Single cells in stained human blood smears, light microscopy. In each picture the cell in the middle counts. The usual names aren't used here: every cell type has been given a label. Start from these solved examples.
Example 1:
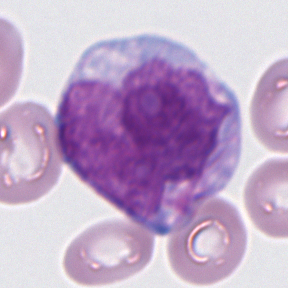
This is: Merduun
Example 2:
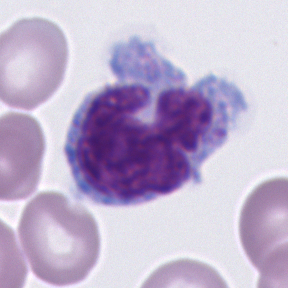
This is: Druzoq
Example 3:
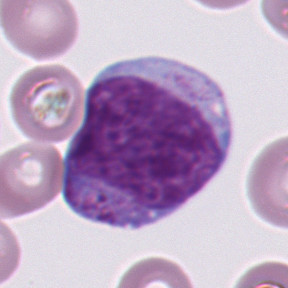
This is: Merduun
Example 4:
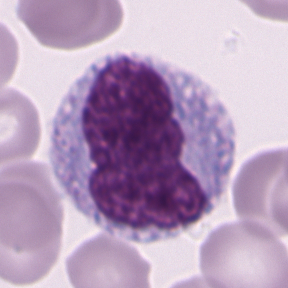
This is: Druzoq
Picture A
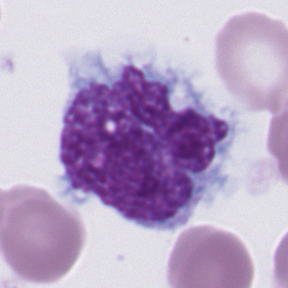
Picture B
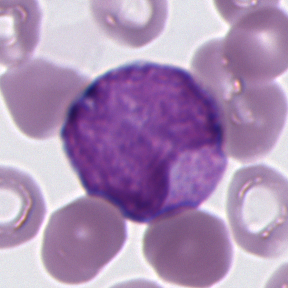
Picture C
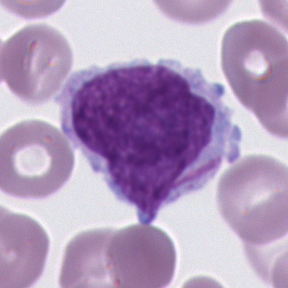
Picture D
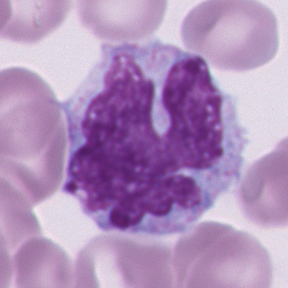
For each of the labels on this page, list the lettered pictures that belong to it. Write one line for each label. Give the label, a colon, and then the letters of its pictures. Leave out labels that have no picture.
Merduun: B, C
Druzoq: A, D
